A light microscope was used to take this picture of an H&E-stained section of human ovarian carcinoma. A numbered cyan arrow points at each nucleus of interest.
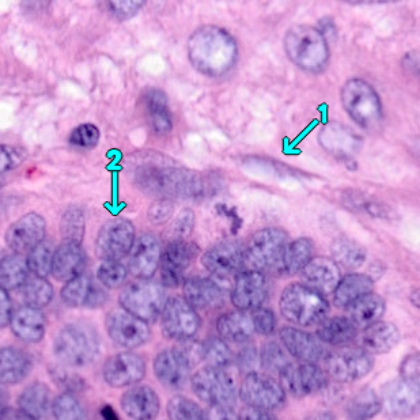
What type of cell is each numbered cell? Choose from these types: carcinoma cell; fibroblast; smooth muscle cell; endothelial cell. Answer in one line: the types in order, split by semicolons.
fibroblast; carcinoma cell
